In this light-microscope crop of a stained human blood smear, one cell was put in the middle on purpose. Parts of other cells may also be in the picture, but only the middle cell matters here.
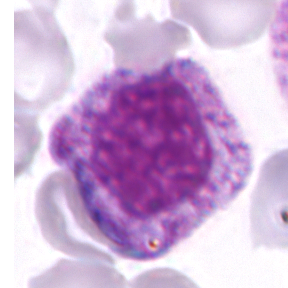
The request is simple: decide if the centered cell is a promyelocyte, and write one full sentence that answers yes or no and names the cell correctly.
No, the cell sitting in the centre of the crop is a myelocyte, not a promyelocyte.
